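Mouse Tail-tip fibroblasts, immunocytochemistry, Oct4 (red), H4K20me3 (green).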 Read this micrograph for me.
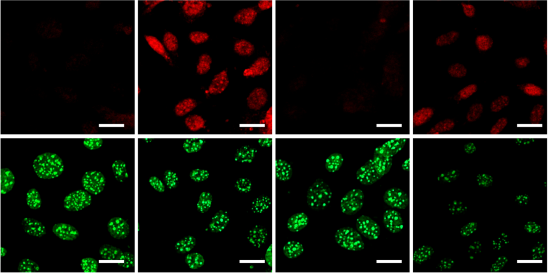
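In the red row, oval and elongated nuclei glow red in the second and fourth columns, and the first and third columns are nearly dark. In the green row, the oval nuclei are speckled with bright green dots; these dots are dense in the first and third columns. The green is fainter in the second column and faintest in the last column.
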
